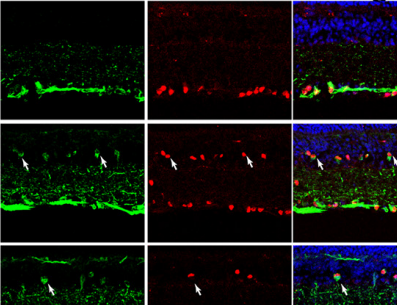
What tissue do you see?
Retina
